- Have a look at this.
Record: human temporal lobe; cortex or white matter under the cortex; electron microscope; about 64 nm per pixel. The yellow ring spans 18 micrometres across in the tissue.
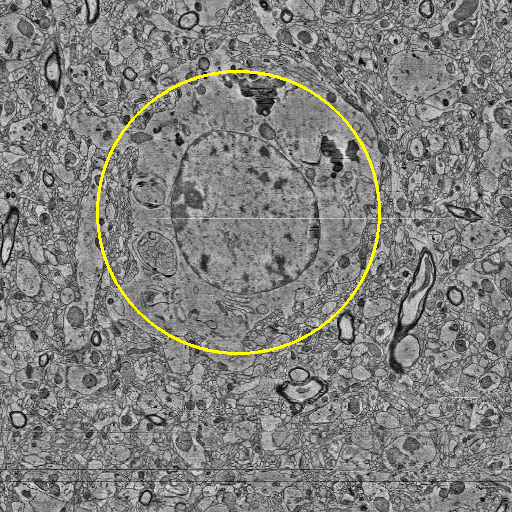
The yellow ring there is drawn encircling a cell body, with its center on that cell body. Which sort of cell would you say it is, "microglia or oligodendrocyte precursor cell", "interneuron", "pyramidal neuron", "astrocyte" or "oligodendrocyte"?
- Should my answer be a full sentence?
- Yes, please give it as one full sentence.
For this picture, an astrocyte is the cell where the yellow ring has its center.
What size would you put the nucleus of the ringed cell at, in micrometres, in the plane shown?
About 11 by 9 micrometers for the nucleus, in this plane.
